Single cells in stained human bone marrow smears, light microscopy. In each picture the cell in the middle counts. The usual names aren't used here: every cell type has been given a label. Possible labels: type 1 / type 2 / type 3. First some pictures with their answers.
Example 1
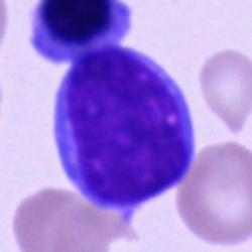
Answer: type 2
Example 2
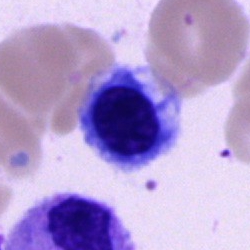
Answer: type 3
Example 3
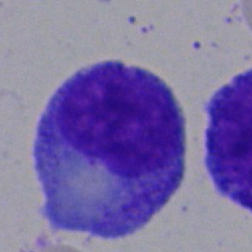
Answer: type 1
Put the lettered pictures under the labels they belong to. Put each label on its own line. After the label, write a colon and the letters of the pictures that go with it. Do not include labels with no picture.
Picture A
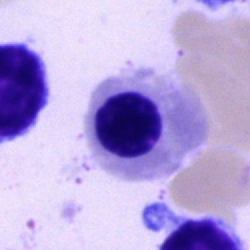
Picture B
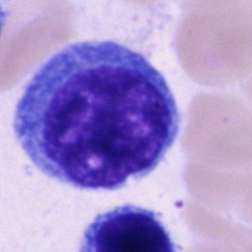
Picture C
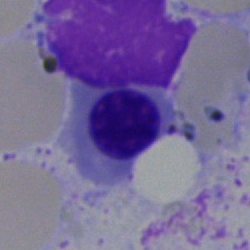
type 2: B
type 3: A, C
